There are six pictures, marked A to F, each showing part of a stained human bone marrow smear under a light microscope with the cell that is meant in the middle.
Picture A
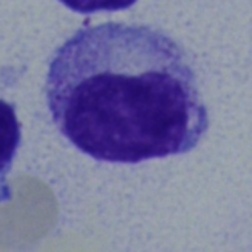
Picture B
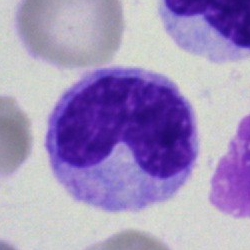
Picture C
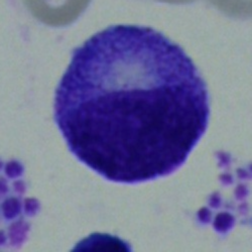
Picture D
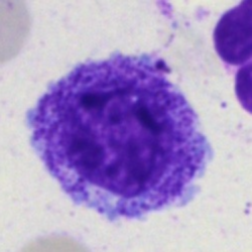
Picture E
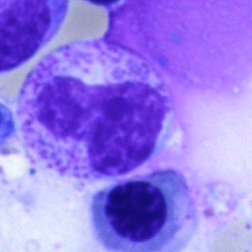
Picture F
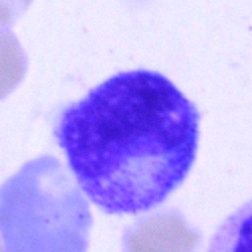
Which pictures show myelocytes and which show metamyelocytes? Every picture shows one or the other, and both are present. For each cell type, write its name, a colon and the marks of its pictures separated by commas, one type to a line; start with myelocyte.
myelocyte: C, D
metamyelocyte: A, B, E, F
